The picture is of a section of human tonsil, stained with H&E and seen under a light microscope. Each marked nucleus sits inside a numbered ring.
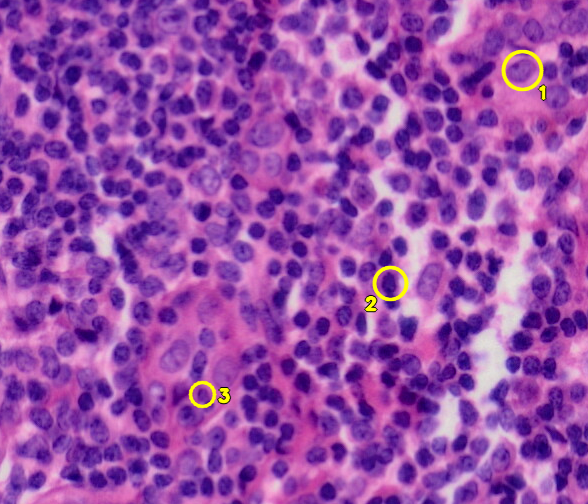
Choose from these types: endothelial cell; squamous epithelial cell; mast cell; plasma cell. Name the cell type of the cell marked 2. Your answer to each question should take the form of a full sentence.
Looking at the numbered marks, cell 2 is a plasma cell.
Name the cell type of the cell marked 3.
Looking at the numbered marks, cell 3 is an endothelial cell.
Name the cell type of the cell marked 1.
Here the cell numbered 1 is an endothelial cell.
